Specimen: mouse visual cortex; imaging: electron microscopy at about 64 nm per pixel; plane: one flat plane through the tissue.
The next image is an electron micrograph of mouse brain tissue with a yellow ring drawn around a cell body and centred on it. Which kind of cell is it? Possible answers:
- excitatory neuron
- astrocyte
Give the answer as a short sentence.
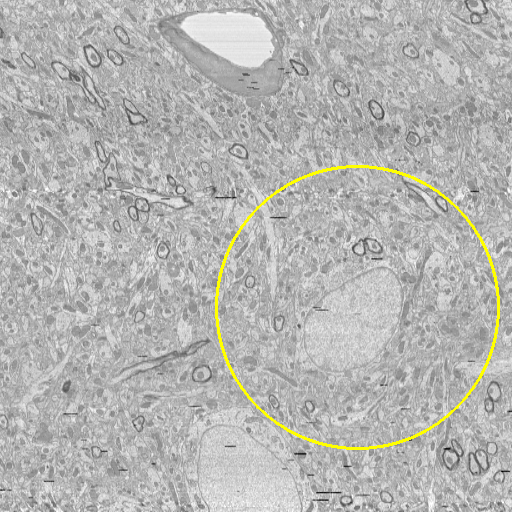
In the ring's centre is an astrocyte.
